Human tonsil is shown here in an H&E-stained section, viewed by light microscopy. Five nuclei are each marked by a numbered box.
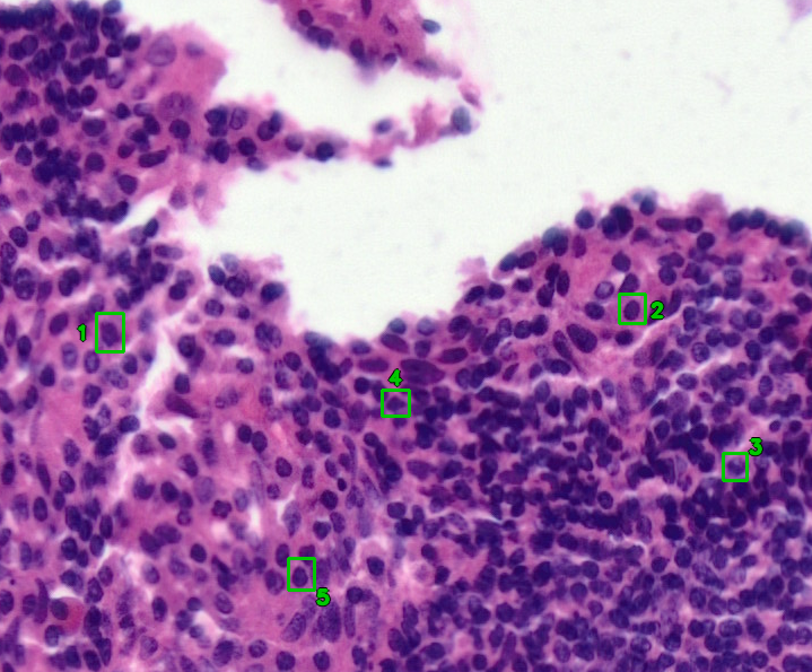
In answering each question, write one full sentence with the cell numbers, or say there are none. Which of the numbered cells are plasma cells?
The cells referred to by the numbers 1, 2 and 5 are plasma cells.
